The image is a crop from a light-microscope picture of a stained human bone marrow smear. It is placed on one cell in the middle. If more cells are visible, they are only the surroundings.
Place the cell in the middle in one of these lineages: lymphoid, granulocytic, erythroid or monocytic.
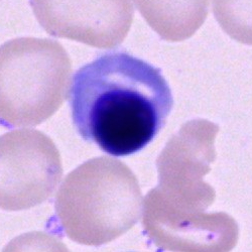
erythroid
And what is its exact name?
erythroblast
